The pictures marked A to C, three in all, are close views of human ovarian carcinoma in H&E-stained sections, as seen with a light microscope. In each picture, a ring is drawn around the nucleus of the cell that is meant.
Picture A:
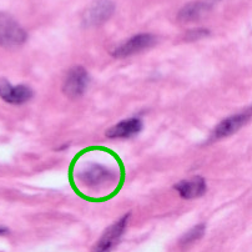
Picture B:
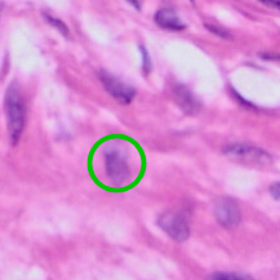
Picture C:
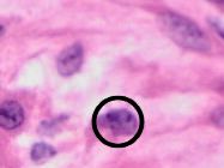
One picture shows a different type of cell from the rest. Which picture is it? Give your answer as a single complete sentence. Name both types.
The different one is picture C; it shows a “macrophage or monocyte”, whereas all the others show fibroblasts.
